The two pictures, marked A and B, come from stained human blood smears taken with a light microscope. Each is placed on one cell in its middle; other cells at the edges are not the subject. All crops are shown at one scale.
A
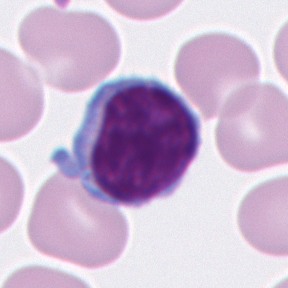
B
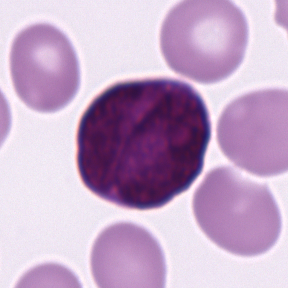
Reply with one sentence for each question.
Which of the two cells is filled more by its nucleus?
It is the cell in picture B that is filled more by its nucleus.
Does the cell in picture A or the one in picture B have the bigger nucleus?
It is the nucleus in picture B, about 1.5 times as large in area as the one in picture A.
